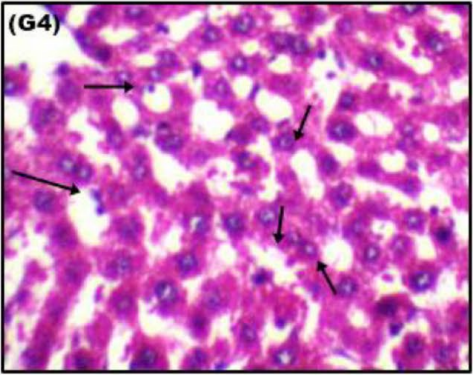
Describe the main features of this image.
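Liver parenchyma with hepatocytes in irregular cords, each with purplish-pink cytoplasm and a round nucleus with a dark nucleolus. Irregular clear spaces lie among the cords, and some cells show pale vacuolated areas.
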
